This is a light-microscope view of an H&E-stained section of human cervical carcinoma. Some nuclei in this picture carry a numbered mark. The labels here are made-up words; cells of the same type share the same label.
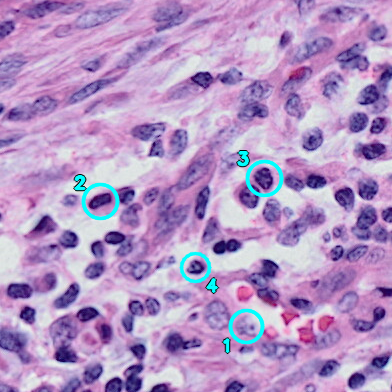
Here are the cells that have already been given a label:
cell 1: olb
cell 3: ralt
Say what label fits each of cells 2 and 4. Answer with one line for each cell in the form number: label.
2: ralt
4: ralt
